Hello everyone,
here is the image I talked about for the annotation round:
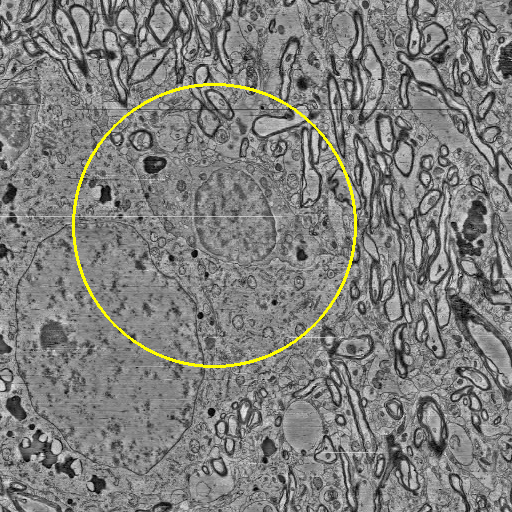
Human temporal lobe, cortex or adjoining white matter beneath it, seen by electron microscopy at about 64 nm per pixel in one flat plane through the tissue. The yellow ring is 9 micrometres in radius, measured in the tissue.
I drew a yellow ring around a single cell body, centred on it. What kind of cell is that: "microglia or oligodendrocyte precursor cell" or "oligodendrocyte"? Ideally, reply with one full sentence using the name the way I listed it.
The cell your yellow ring is centred on is an oligodendrocyte, going by your list.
